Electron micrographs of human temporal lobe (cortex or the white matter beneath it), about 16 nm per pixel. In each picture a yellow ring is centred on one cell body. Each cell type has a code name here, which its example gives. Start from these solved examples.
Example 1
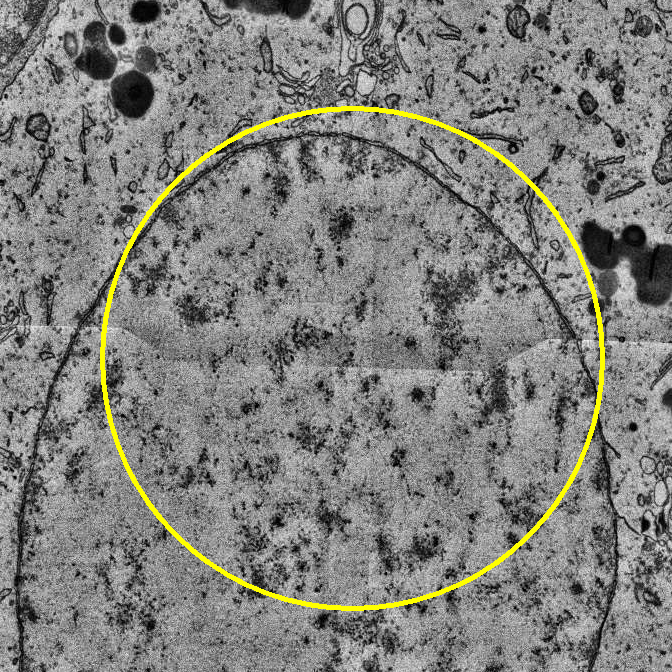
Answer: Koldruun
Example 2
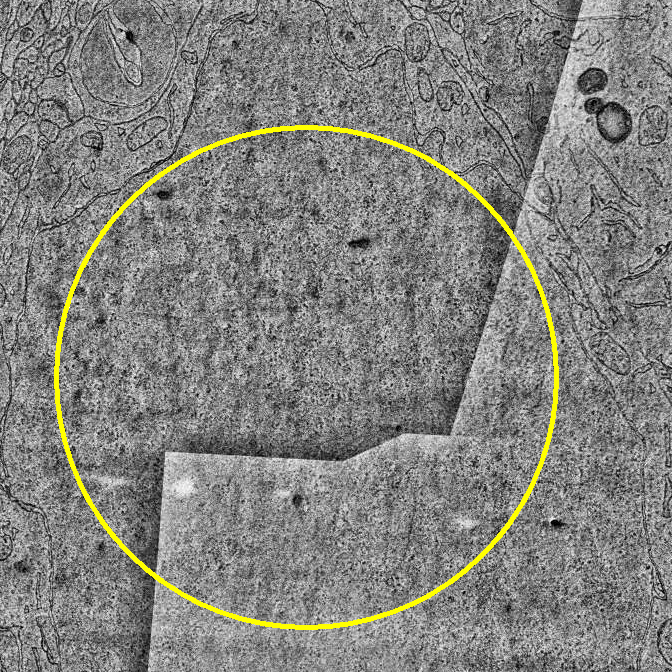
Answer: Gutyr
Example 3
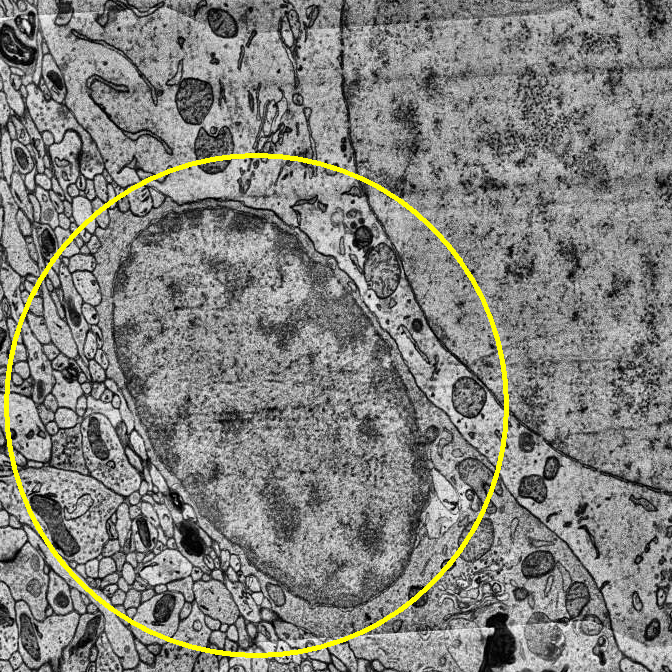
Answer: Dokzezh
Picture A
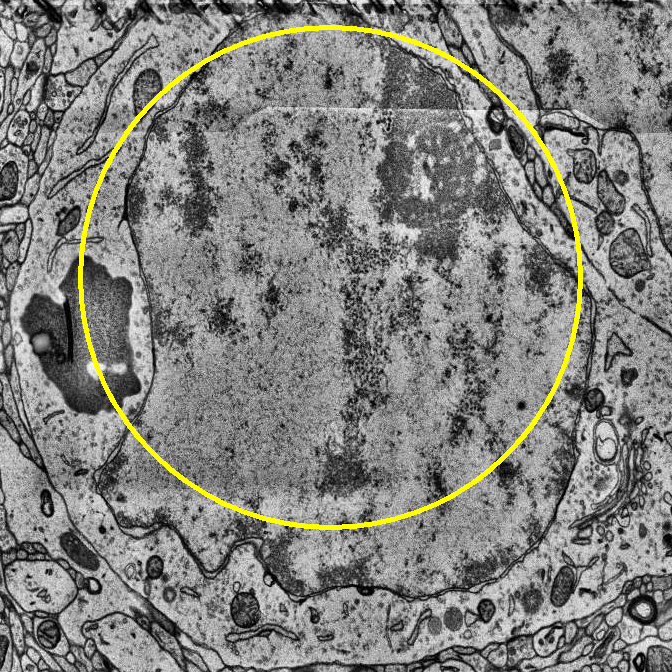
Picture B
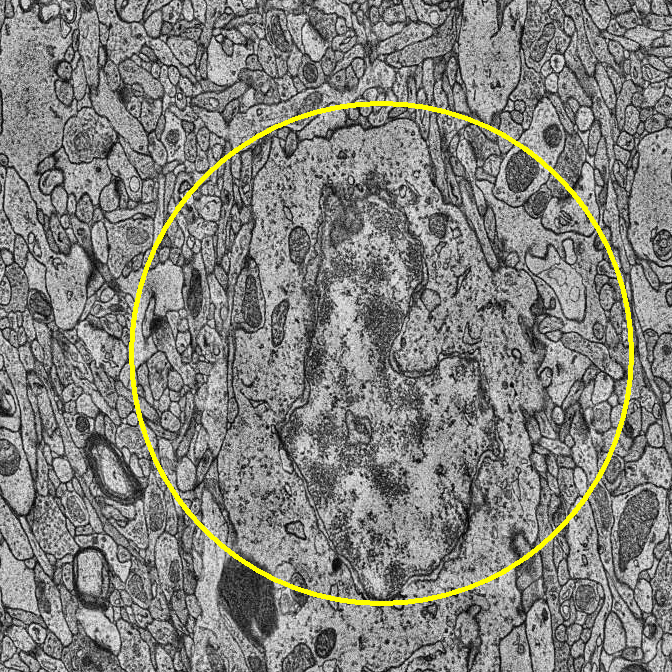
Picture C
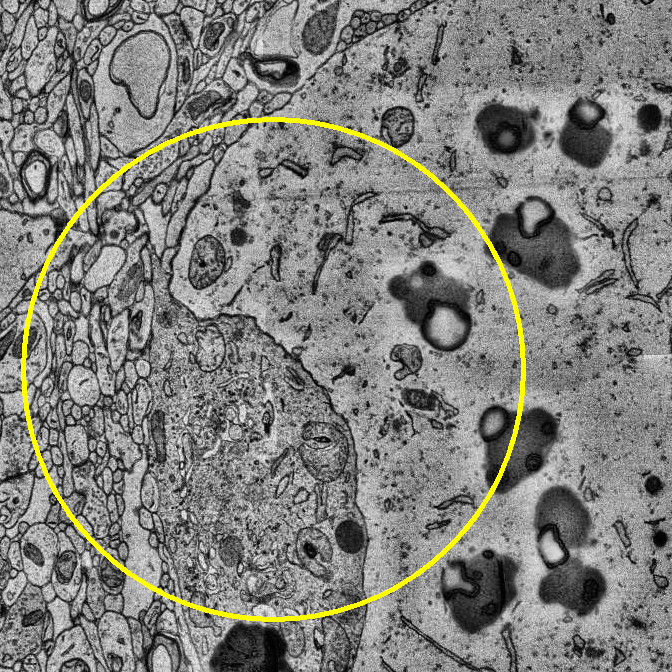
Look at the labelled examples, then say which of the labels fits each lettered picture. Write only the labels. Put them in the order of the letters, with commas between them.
Gutyr, Gutyr, Dokzezh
